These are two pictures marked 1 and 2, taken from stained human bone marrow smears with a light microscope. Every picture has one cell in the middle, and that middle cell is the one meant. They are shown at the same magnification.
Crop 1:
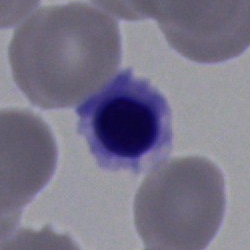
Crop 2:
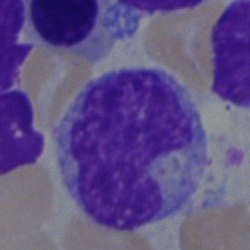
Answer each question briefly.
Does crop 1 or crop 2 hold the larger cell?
2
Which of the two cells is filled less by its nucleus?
1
